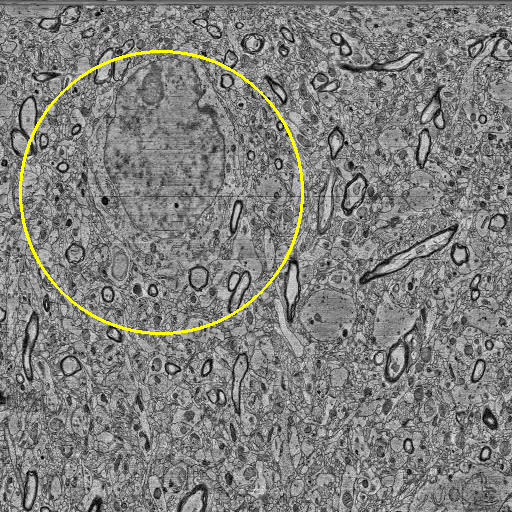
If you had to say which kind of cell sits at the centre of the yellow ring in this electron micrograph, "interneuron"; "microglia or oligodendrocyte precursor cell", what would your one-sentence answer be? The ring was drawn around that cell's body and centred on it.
The cell sitting at the centre of the ring is an interneuron.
